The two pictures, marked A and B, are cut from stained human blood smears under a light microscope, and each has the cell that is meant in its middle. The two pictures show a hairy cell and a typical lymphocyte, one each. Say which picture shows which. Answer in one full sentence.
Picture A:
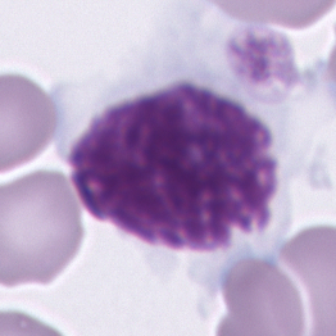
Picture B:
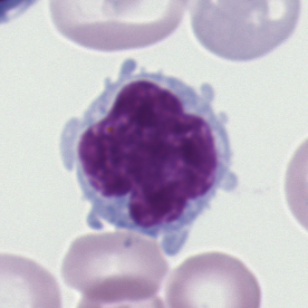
It is picture A that shows a hairy cell, and picture B that shows a typical lymphocyte.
